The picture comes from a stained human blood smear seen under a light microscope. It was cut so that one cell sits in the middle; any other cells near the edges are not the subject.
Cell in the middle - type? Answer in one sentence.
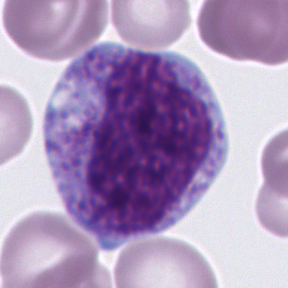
The middle of this crop is occupied by a promyelocyte.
